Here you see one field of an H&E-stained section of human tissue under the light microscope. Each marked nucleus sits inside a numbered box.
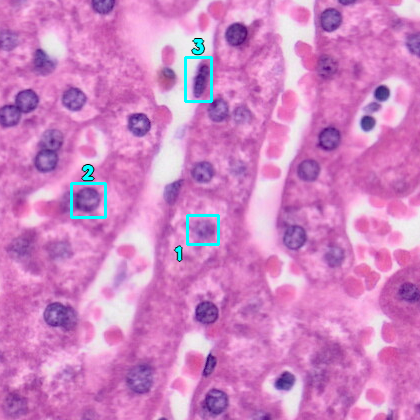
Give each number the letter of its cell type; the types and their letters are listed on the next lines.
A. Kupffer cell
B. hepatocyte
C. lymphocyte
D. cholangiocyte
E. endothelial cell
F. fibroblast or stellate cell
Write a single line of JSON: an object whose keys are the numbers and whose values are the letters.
{"1": "B", "2": "B", "3": "A"}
